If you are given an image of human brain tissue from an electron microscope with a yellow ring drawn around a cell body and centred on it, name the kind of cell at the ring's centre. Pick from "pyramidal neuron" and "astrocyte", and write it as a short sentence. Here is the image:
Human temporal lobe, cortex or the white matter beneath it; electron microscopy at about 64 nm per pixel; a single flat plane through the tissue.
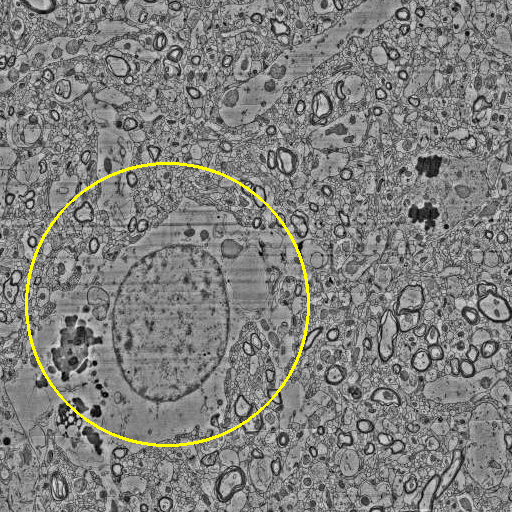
The cell at the ring's centre is an astrocyte.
